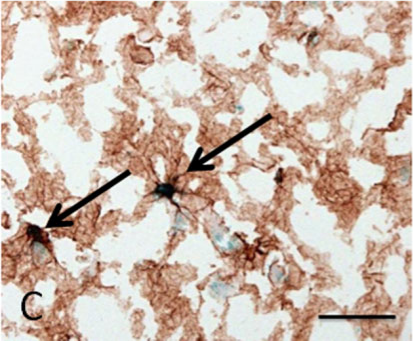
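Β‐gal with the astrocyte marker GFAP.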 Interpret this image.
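The processes merge into a dense brown fibrillary meshwork that fills the field around pale spaces, and the cell bodies themselves are dark. Faint blue-green deposits lie in some of the cells.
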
